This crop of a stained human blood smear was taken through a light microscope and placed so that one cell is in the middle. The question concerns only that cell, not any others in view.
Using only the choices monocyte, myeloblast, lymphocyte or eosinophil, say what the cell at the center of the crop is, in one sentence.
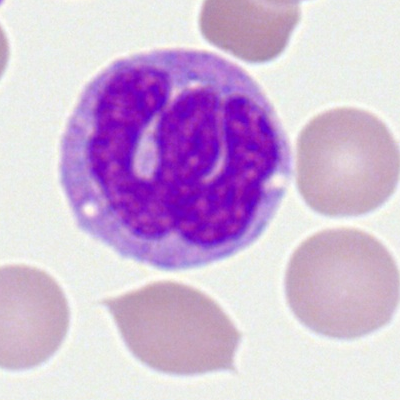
Here the cell in the middle is a monocyte.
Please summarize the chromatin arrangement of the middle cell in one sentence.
The chromatin within its nucleus forms coarse clumps.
